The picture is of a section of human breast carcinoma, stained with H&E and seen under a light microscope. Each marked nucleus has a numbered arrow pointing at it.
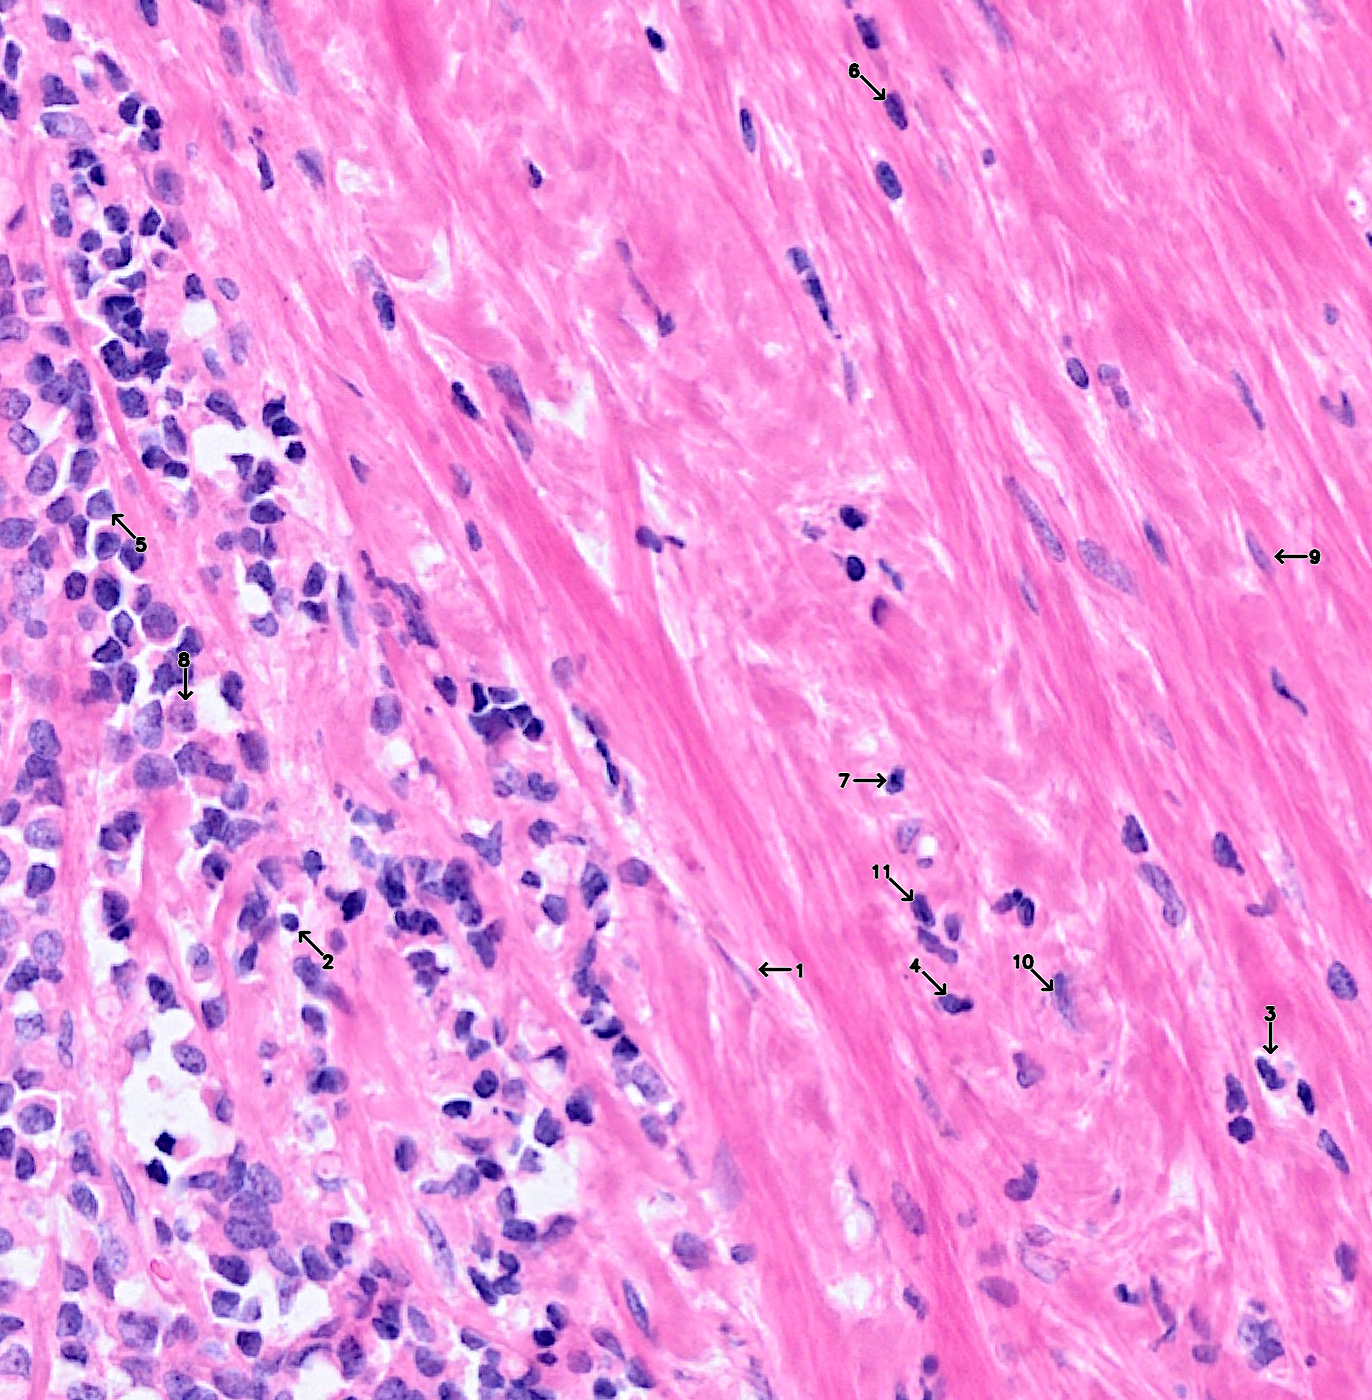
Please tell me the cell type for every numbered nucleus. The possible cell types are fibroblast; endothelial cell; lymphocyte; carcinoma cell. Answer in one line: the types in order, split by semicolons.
fibroblast; lymphocyte; lymphocyte; lymphocyte; carcinoma cell; lymphocyte; lymphocyte; carcinoma cell; fibroblast; fibroblast; lymphocyte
